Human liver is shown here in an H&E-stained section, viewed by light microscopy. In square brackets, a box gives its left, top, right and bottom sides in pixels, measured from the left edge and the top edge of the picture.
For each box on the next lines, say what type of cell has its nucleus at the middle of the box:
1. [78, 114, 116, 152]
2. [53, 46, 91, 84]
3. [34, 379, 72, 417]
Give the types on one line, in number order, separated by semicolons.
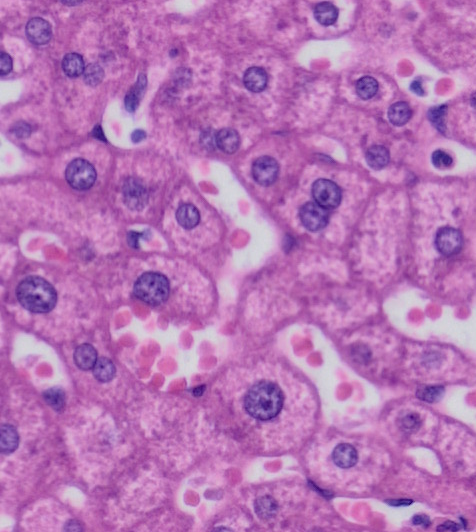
fibroblast or stellate cell; hepatocyte; endothelial cell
